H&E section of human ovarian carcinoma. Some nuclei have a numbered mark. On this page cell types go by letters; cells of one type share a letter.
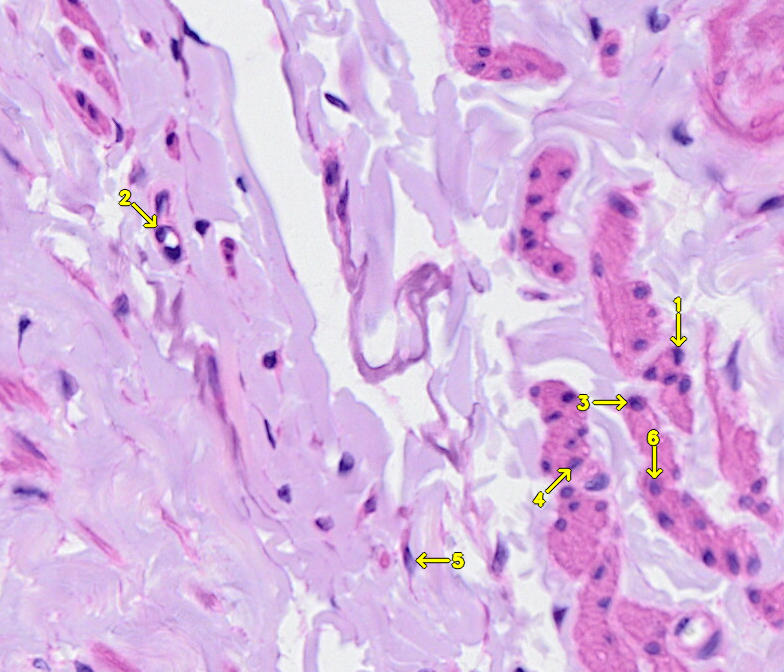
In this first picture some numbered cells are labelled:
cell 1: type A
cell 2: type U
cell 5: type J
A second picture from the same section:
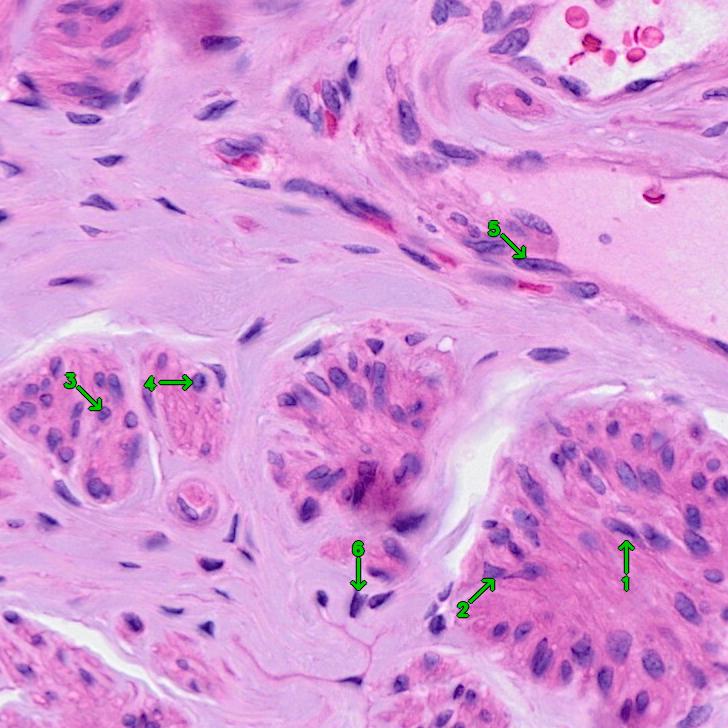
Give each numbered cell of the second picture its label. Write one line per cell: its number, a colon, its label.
1: type A
2: type A
3: type A
4: type A
5: type U
6: type J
